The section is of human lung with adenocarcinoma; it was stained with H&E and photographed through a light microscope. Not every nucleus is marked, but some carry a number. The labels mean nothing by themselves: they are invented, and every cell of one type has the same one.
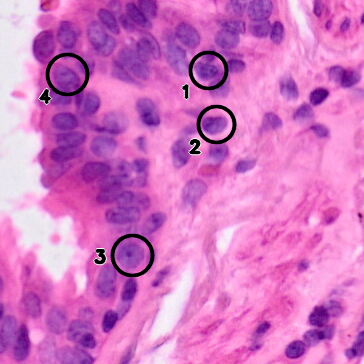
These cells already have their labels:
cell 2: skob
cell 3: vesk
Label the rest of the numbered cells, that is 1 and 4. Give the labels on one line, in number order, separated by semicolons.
skob; vesk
